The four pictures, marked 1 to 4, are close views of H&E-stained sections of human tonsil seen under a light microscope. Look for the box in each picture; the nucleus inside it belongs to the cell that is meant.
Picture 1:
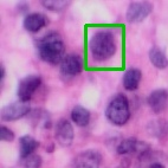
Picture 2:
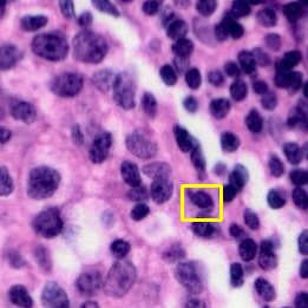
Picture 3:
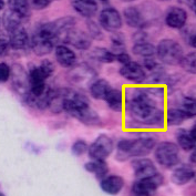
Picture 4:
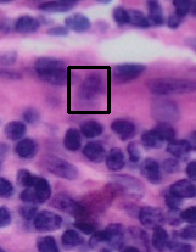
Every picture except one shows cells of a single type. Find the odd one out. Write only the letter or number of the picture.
4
